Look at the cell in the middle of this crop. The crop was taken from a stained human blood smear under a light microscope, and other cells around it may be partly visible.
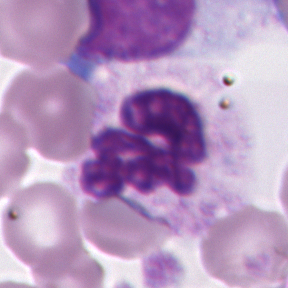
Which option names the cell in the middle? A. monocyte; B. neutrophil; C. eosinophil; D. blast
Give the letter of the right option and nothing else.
B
